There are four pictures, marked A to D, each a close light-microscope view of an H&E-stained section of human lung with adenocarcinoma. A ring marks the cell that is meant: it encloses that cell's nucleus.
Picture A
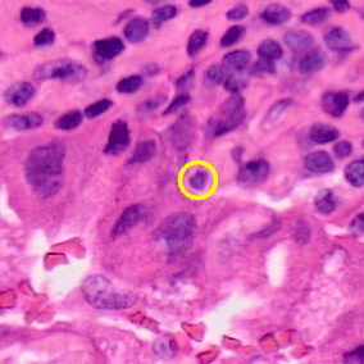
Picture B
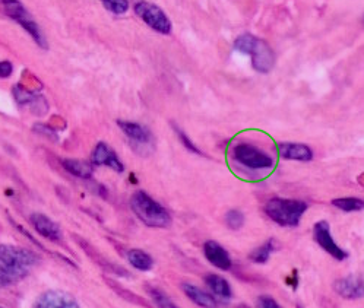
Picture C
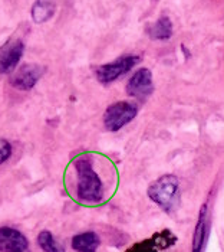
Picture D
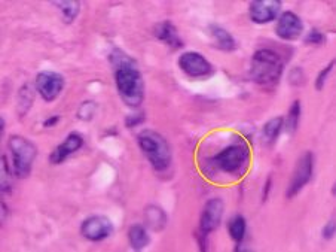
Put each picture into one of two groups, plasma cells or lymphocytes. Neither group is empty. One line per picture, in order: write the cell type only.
lymphocyte
plasma cell
plasma cell
plasma cell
